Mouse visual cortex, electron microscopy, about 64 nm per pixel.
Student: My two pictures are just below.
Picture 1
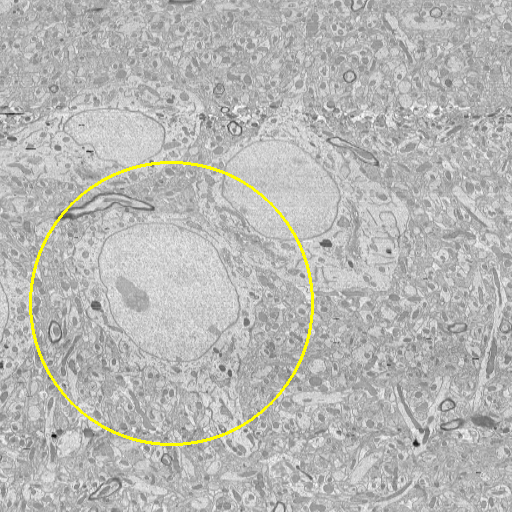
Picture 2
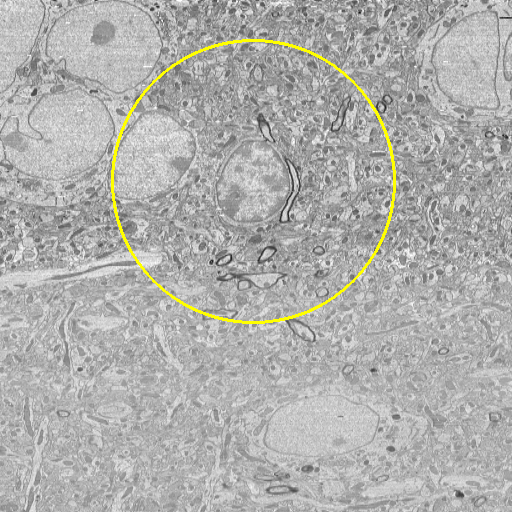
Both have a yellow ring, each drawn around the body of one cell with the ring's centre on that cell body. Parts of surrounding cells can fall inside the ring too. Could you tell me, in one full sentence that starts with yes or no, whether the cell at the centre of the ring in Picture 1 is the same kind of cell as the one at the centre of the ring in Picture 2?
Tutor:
No, the two cells are of two kinds.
